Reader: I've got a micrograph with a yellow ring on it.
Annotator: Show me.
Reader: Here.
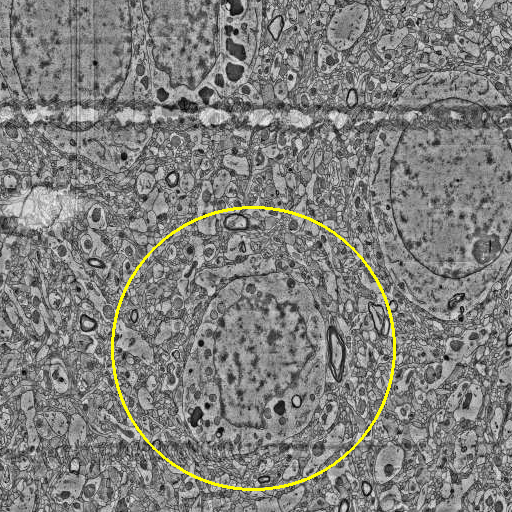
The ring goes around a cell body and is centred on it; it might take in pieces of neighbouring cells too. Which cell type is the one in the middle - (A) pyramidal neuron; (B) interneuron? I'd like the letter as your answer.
B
